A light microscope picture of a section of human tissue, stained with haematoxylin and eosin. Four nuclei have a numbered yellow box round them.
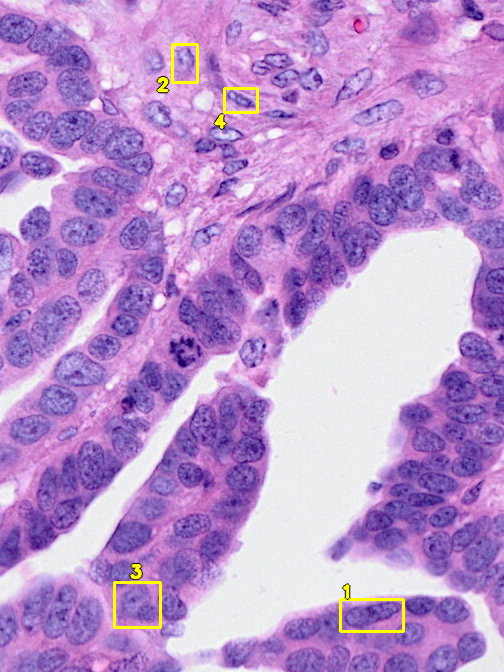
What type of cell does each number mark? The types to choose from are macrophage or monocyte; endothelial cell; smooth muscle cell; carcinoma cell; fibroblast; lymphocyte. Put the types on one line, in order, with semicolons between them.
carcinoma cell; fibroblast; carcinoma cell; fibroblast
